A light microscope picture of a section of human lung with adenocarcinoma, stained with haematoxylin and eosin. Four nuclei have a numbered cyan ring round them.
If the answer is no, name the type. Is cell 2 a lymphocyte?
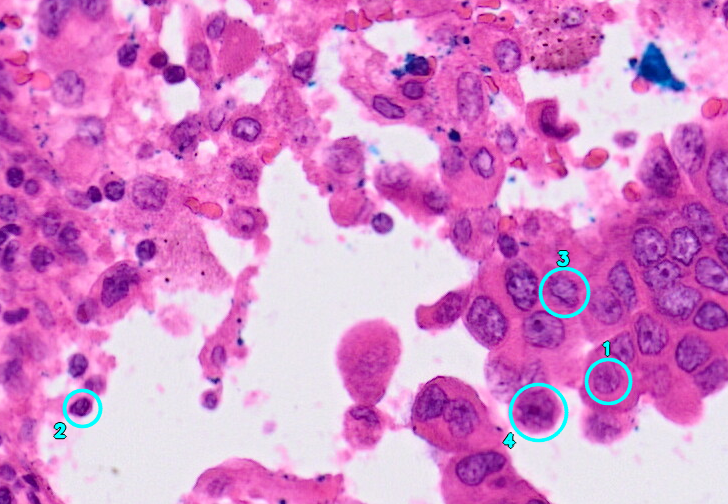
Yes.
